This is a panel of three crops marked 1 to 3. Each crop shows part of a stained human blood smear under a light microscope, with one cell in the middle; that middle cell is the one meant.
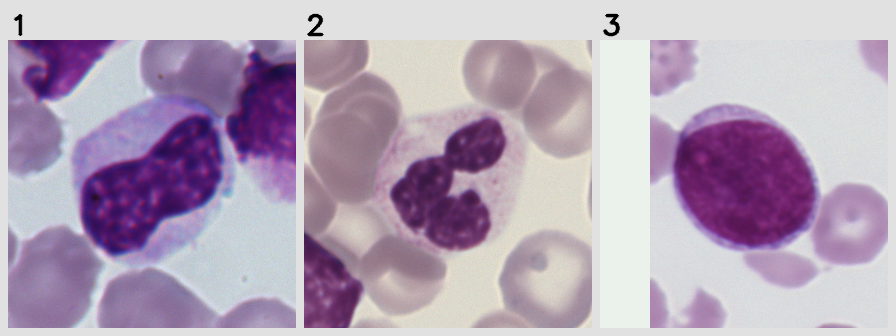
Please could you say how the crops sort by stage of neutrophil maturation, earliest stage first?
3, 1, 2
